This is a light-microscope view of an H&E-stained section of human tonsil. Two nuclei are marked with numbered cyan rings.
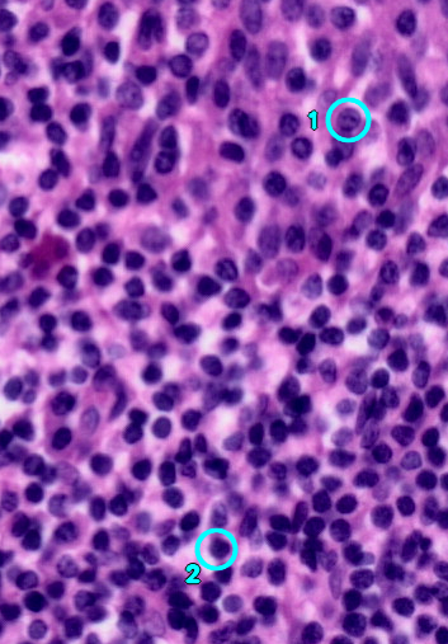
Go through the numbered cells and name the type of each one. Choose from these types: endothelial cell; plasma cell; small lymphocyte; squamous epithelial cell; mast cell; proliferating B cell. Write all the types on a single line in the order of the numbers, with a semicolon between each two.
plasma cell; small lymphocyte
